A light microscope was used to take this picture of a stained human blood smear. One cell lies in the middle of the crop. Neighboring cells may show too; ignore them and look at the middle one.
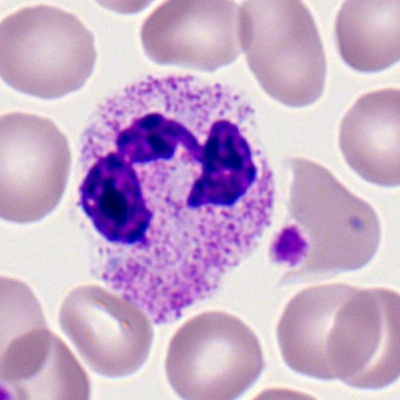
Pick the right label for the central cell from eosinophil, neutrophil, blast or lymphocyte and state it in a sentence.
The cell that lies at the centre of the crop is a neutrophil.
